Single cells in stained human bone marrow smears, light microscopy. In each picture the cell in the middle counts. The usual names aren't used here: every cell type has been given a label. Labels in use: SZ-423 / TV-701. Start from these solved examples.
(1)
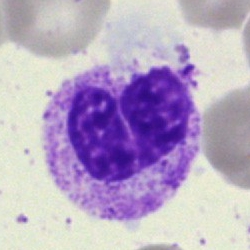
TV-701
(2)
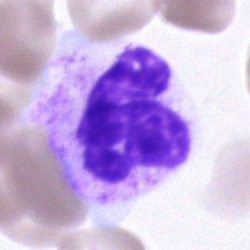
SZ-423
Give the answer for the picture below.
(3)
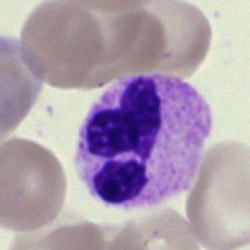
SZ-423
